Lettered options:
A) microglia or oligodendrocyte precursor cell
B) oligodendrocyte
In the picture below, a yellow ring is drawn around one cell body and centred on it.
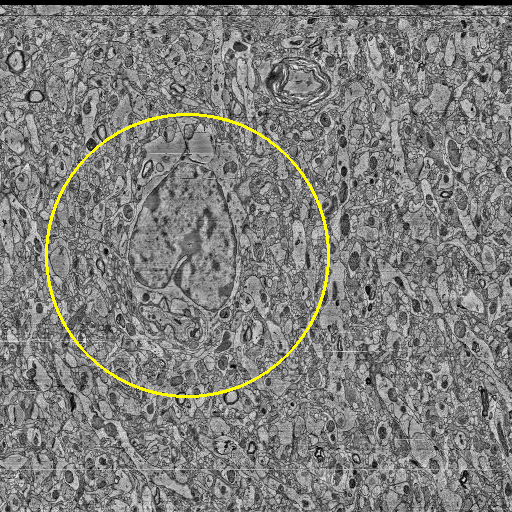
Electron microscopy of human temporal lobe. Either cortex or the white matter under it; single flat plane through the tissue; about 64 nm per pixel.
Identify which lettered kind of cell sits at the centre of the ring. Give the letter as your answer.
A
